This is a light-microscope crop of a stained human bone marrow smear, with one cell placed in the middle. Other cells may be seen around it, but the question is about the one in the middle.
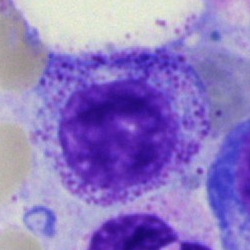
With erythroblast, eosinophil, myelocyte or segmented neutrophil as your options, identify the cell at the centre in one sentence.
The cell marked by its central position in the crop is a myelocyte.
